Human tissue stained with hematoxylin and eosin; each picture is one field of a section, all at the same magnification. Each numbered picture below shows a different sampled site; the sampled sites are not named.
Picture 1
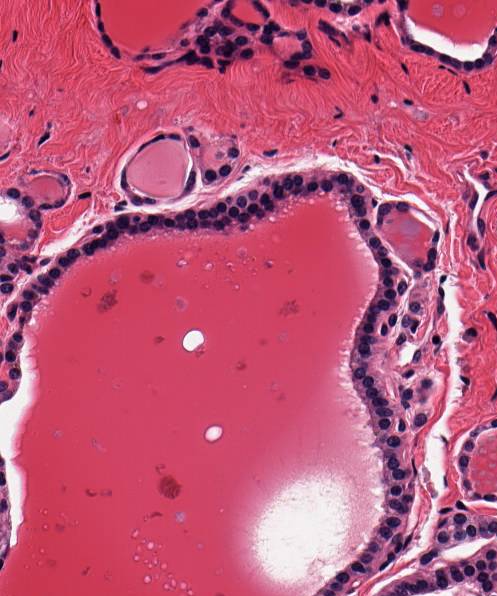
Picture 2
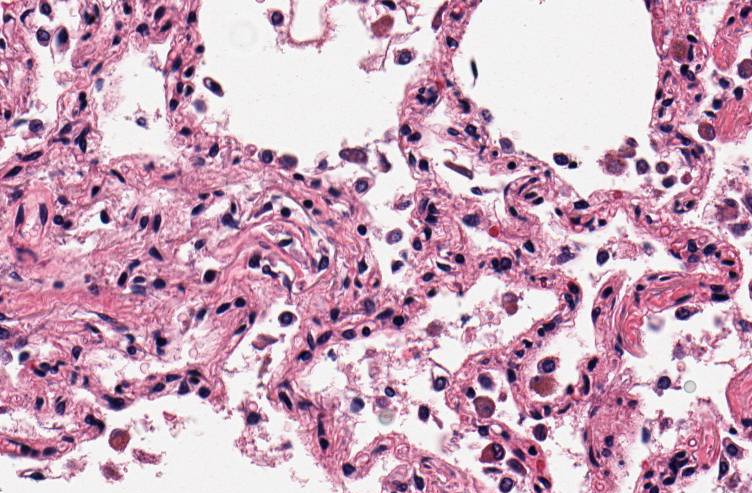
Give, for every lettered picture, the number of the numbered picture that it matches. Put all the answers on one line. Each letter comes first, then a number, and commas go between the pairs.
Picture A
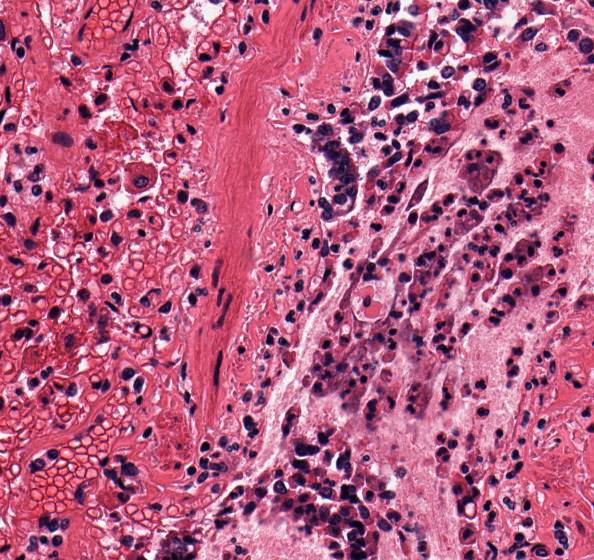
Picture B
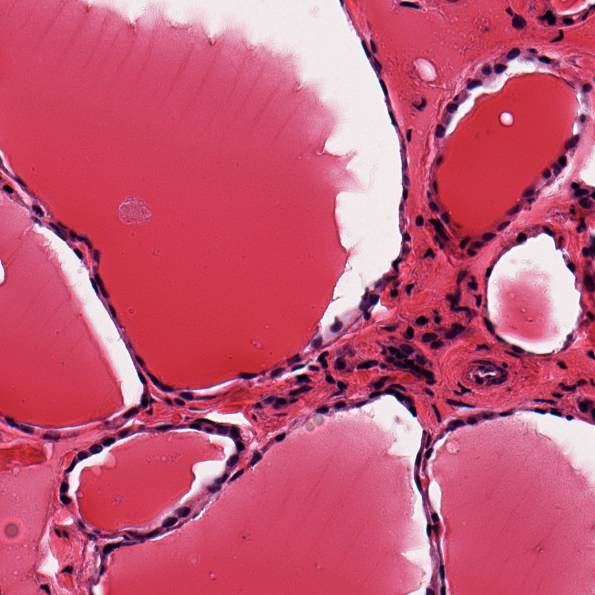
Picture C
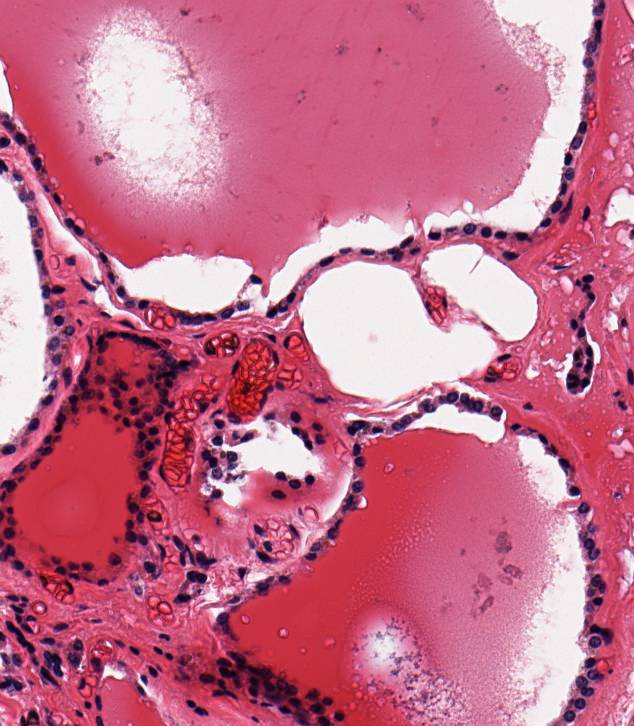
A 2, B 1, C 1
